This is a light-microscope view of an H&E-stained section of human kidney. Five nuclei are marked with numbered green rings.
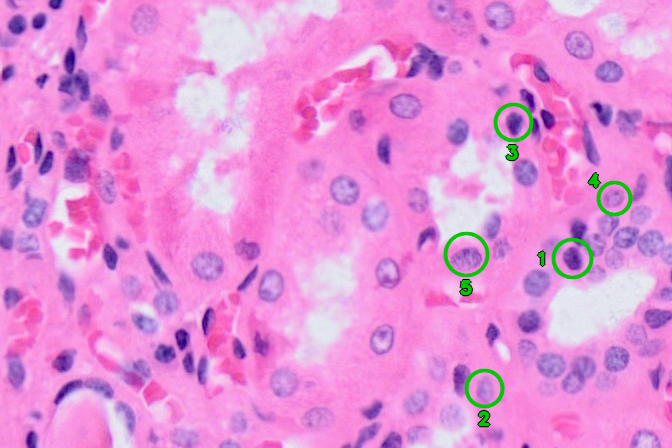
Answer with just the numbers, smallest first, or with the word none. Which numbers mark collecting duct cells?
1, 4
